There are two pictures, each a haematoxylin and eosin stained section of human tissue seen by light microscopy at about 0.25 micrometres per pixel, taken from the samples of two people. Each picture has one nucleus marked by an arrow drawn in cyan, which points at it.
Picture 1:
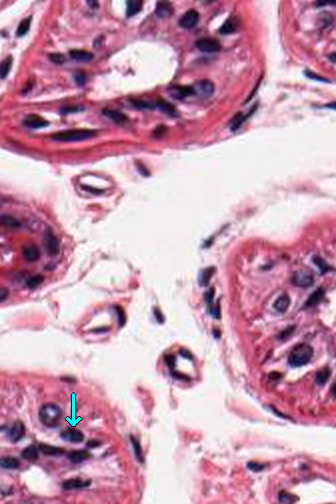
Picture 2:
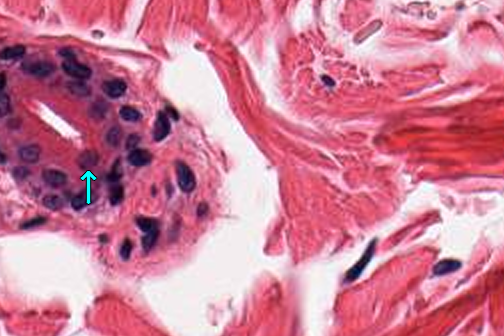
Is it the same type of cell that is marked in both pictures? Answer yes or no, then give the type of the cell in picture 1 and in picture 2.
Yes, both are sweat gland cells.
